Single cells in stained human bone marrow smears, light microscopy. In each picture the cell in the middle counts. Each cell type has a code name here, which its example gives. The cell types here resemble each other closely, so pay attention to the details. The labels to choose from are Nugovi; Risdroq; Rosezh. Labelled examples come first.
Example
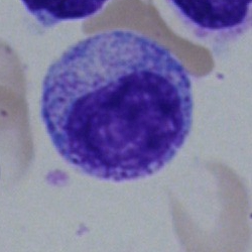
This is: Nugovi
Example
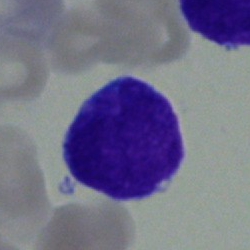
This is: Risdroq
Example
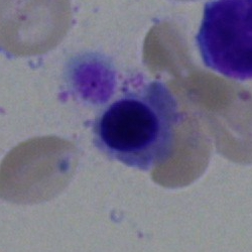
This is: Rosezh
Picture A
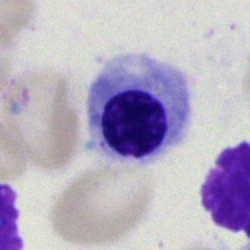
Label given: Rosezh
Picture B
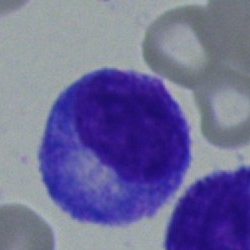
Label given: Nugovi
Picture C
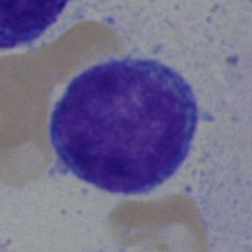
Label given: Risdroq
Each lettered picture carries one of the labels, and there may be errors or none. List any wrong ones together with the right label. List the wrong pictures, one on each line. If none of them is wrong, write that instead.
None of the labels needs changing.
